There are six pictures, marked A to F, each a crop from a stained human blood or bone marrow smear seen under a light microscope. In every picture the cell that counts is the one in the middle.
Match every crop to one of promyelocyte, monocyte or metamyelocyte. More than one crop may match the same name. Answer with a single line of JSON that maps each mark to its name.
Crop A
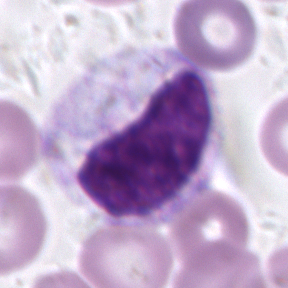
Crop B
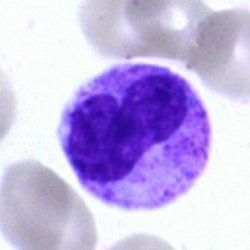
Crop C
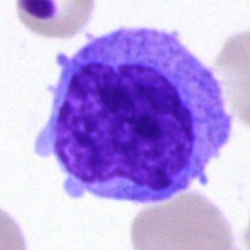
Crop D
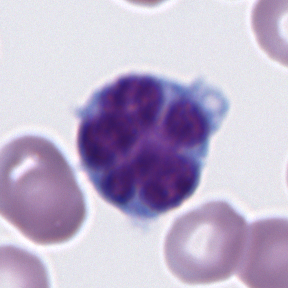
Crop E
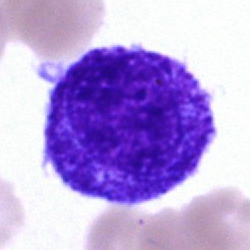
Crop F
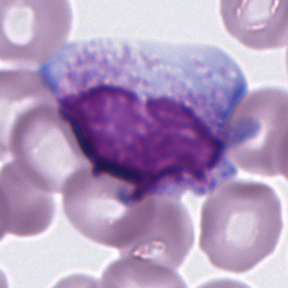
{"A": "metamyelocyte", "B": "metamyelocyte", "C": "monocyte", "D": "monocyte", "E": "promyelocyte", "F": "promyelocyte"}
